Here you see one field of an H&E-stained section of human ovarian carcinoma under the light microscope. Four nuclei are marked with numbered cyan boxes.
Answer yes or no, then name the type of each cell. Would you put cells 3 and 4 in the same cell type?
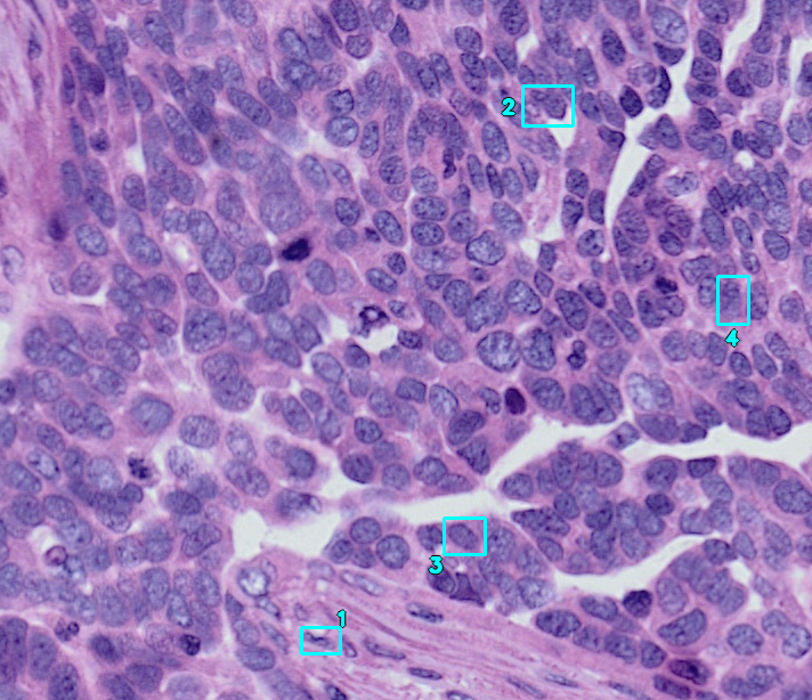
Yes, in this section cells 3 and 4 are both carcinoma cells.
